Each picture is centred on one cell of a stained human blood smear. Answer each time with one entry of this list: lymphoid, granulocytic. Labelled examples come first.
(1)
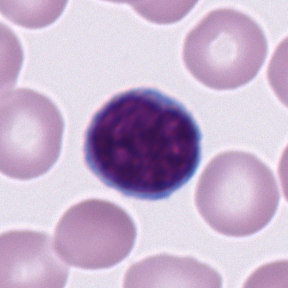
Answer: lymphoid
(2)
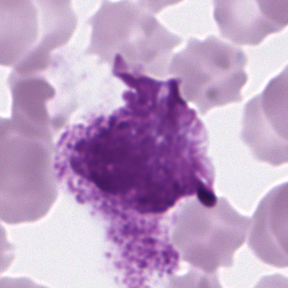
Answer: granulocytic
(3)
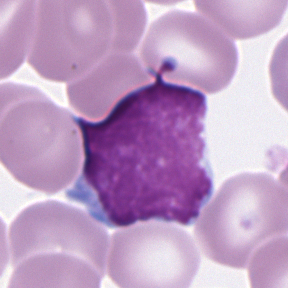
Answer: lymphoid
